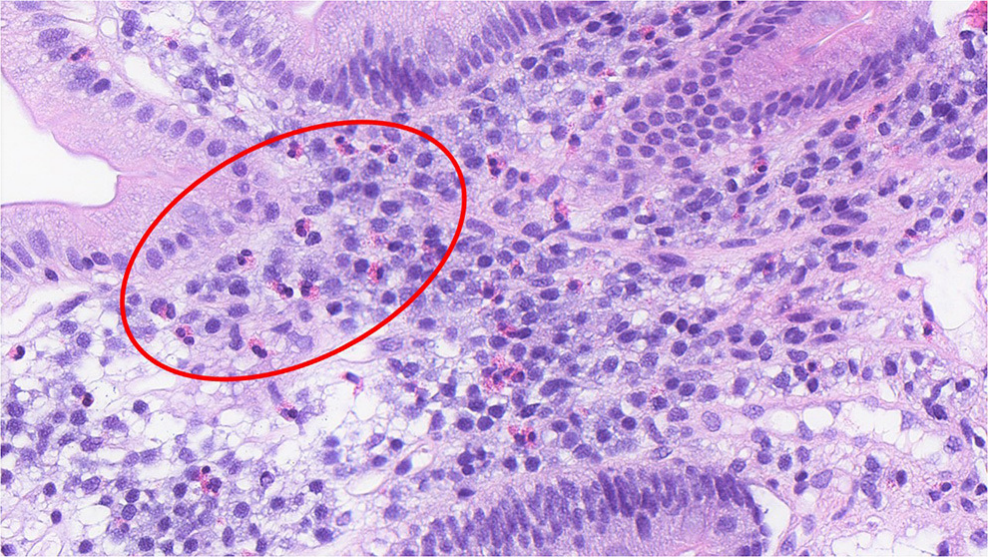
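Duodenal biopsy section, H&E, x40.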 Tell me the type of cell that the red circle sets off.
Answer: eosinophils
